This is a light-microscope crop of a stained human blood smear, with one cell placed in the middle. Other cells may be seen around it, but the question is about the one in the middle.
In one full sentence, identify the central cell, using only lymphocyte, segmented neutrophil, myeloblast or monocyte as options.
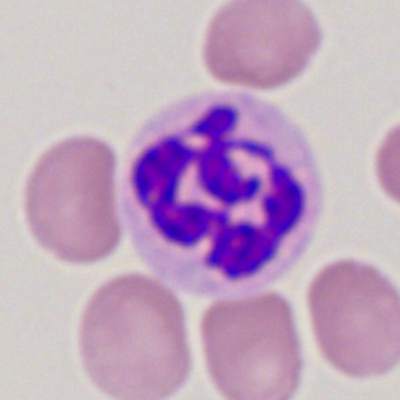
Framed in the middle of the crop is a segmented neutrophil.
